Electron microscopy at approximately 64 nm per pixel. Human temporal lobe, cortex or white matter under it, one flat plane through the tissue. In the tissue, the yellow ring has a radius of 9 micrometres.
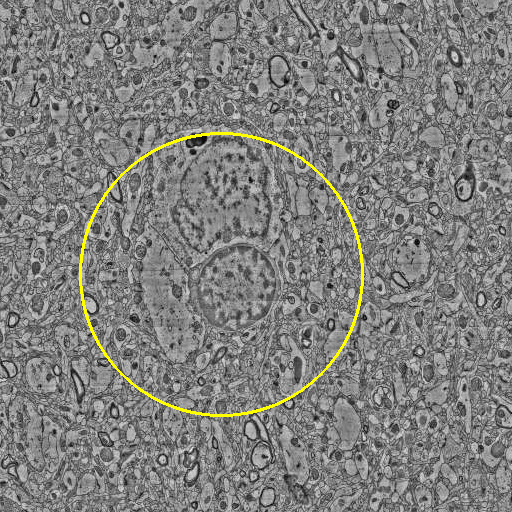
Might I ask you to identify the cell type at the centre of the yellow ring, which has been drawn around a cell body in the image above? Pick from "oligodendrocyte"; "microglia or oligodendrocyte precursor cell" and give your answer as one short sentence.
The centre of the ring falls on an oligodendrocyte.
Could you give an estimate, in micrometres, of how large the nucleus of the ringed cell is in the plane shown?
About 5 micrometres across in this plane, for the nucleus.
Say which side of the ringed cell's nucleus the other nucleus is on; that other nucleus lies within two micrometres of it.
That second nucleus is above it.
